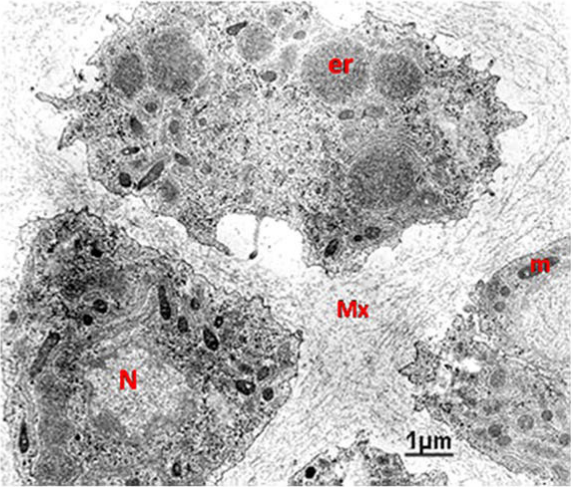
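This transmission electron micrograph shows chondrocytes of cartilage lying apart from one another in an extracellular matrix. The cells are rounded to irregular in outline, with short spiky projections extending from their surfaces into the matrix. Their cytoplasm is dense and crowded with organelles, including numerous small, elongated dark mitochondria and rounded, moderately dense areas. One cell shows a large, pale nucleus with finely granular chromatin. The matrix between the cells is fibrillar, with fibrils running in fairly ordered streams across the spaces between the cells.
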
